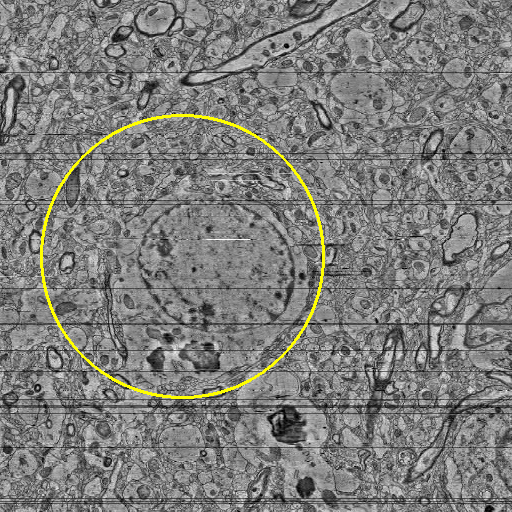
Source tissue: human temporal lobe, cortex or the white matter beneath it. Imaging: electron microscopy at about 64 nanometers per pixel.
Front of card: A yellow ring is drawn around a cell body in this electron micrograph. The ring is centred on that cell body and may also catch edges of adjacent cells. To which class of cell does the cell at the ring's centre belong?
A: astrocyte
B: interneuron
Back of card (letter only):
A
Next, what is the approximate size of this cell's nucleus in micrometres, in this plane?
Approximately 10 micrometres long and 9 micrometres wide, in this plane.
